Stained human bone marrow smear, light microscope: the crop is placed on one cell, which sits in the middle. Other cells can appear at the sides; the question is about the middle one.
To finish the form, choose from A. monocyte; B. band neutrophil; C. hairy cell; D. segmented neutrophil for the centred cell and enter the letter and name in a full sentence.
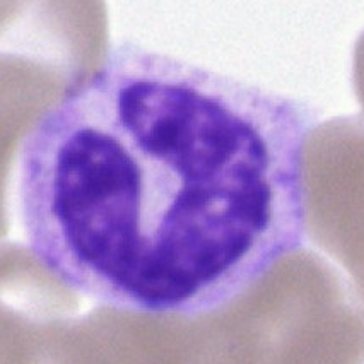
According to option B, which is correct, the cell in the middle is a band neutrophil.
